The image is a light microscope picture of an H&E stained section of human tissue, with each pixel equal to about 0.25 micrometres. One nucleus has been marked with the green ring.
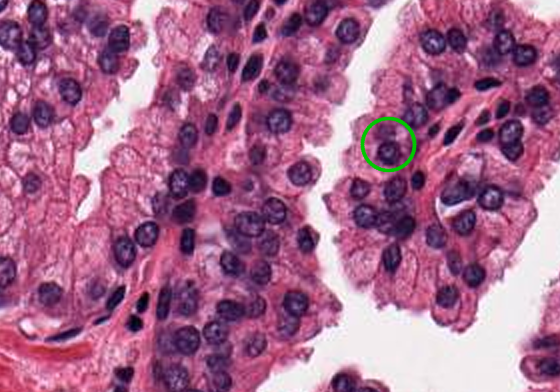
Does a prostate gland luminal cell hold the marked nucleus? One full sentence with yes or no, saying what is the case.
Yes, the cell whose nucleus is marked is a prostate gland luminal cell.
